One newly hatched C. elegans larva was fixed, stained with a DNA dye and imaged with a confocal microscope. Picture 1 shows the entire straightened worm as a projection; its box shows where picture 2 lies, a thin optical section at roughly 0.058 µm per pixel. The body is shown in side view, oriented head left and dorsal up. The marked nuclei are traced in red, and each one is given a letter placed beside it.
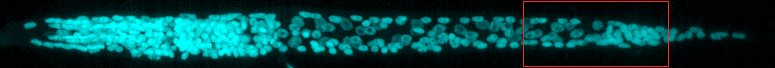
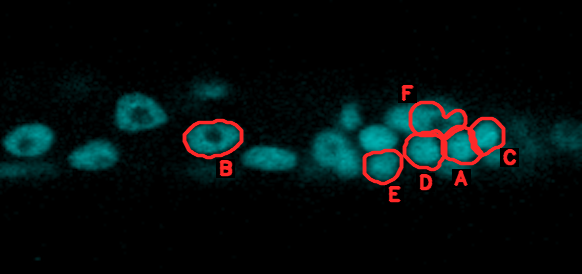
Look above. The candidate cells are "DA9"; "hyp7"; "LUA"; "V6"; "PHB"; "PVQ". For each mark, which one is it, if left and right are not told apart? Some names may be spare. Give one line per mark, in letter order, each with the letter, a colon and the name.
A: PHB
B: V6
C: LUA
D: PVQ
E: DA9
F: hyp7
